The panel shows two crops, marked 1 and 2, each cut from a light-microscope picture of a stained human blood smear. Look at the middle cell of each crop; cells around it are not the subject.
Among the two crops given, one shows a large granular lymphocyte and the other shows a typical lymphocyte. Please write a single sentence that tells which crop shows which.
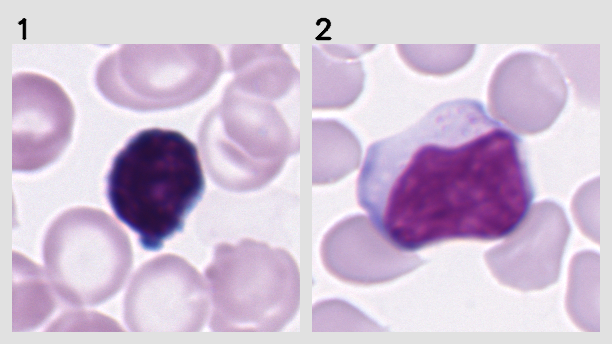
Shown in crop 1 is a typical lymphocyte, and shown in crop 2 is a large granular lymphocyte.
